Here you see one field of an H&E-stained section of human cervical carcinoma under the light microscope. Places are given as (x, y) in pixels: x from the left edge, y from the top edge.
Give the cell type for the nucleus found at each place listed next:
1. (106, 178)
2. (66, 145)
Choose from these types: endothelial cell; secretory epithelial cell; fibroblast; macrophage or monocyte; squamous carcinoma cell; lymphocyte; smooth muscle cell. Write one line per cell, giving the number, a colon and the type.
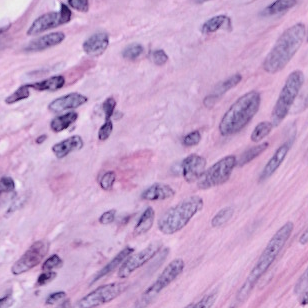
1: smooth muscle cell
2: lymphocyte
